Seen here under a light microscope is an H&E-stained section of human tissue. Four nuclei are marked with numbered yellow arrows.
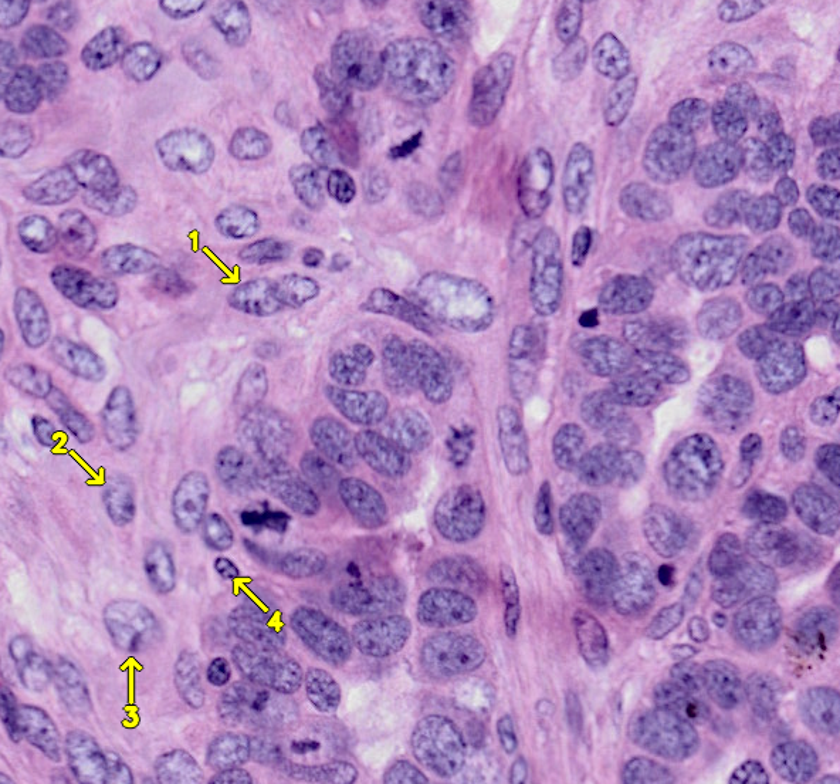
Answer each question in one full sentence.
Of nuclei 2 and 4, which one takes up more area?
It is nucleus 2, which covers about 3 times the area of nucleus 4.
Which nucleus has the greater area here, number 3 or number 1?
The larger nucleus is 3, at roughly 2 times the area of 1.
